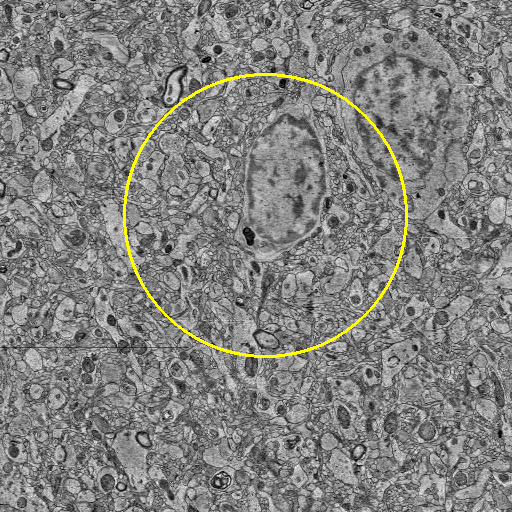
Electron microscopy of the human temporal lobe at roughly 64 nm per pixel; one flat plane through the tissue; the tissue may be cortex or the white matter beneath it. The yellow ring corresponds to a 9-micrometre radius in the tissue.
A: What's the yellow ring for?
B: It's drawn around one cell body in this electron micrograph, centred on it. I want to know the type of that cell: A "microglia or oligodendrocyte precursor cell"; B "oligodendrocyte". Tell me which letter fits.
A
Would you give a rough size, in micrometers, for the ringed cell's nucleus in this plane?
The nucleus of the ringed cell is clearly longer than it is wide in this plane, about 8 by 5 micrometres.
